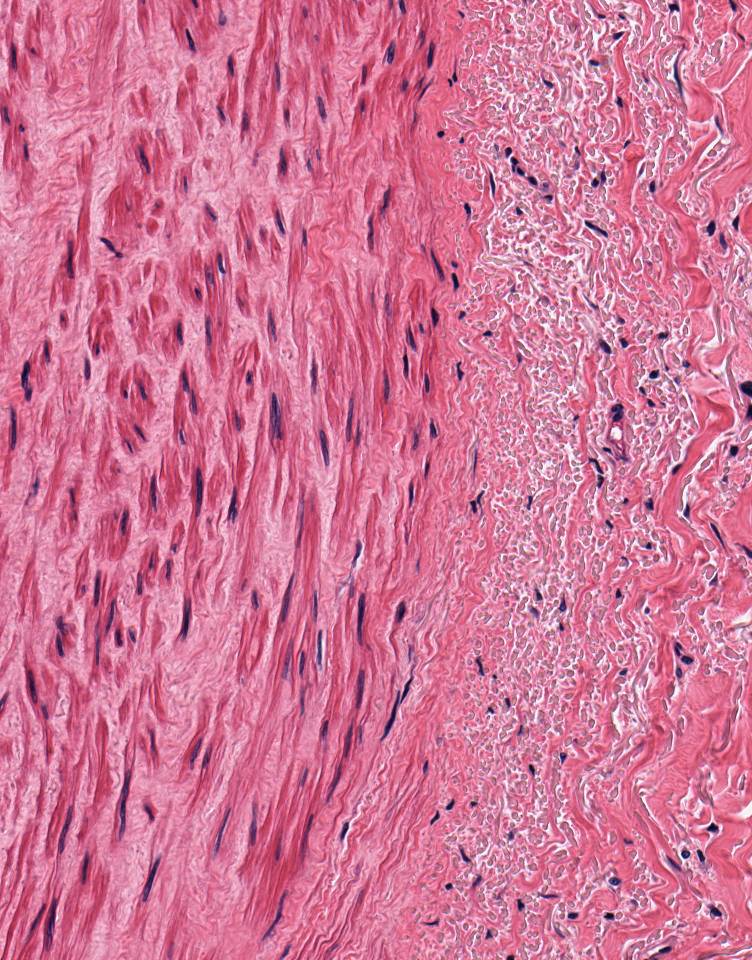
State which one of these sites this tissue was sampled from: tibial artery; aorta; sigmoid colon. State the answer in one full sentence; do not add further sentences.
This section of tissue was taken from the tibial artery.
